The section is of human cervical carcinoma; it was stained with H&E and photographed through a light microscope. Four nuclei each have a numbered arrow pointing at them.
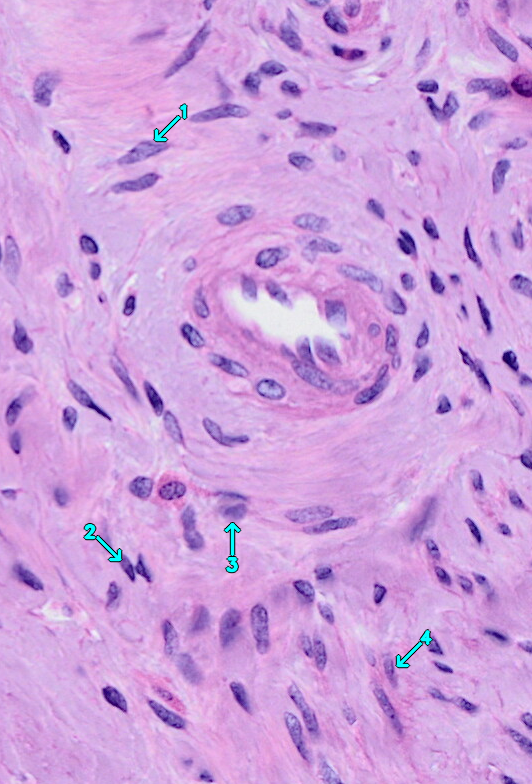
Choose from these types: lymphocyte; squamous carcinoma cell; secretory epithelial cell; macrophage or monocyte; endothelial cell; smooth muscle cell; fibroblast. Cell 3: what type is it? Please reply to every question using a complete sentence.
Cell 3 in the field of view is a fibroblast.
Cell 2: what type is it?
Identified by the number 2, the cell is a fibroblast.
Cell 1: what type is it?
Cell 1 is classified as a fibroblast.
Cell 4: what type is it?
In this section, number 4 marks a smooth muscle cell.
